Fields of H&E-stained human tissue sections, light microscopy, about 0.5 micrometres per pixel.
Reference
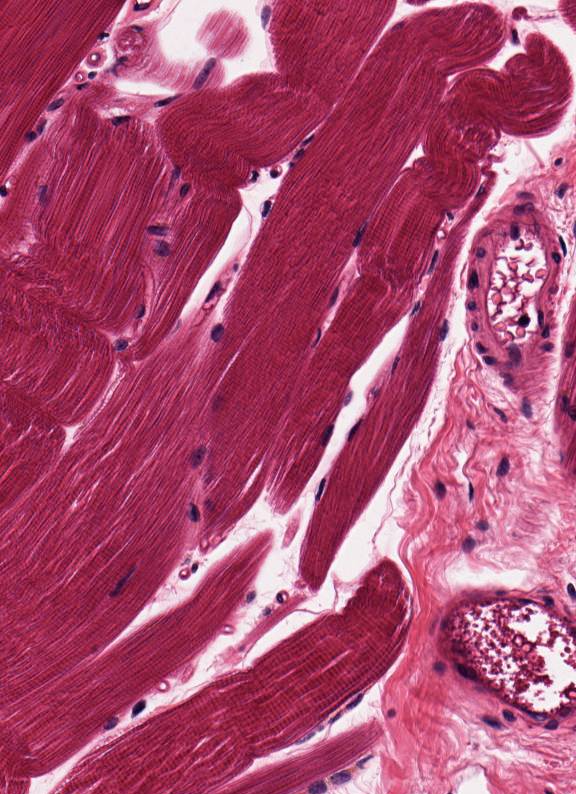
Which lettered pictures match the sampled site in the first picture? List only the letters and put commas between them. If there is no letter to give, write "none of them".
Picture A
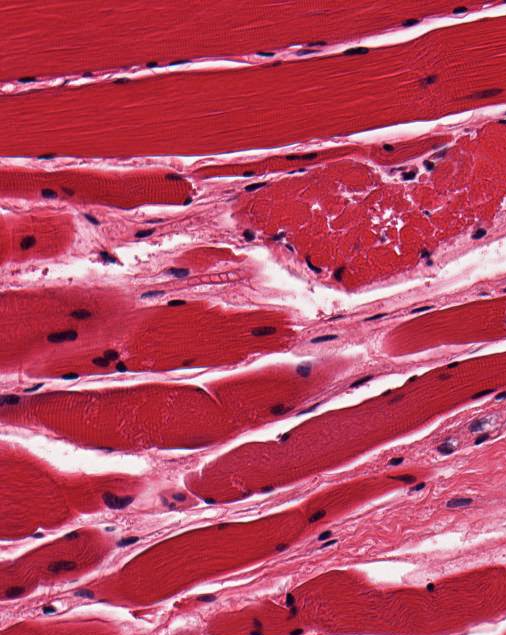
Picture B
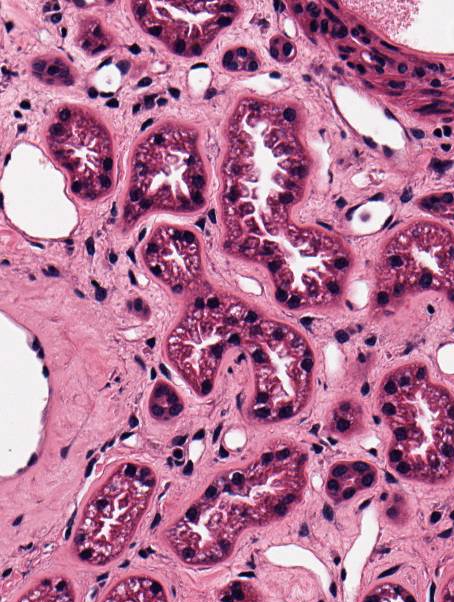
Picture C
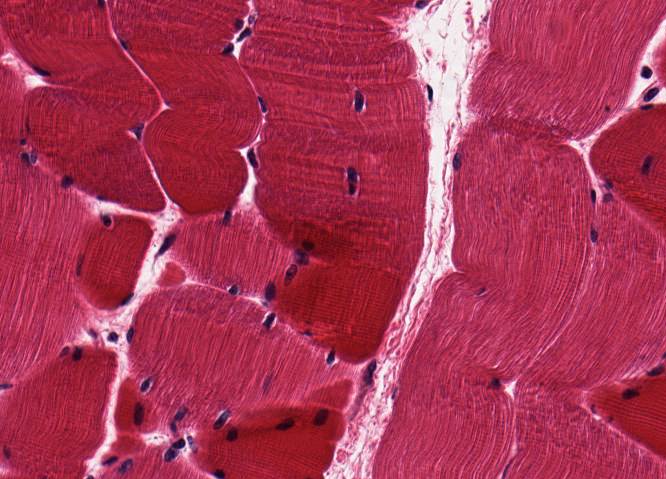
A, C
